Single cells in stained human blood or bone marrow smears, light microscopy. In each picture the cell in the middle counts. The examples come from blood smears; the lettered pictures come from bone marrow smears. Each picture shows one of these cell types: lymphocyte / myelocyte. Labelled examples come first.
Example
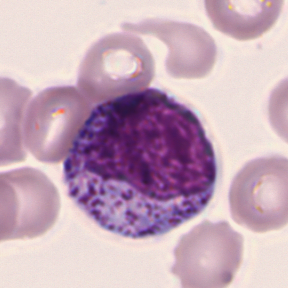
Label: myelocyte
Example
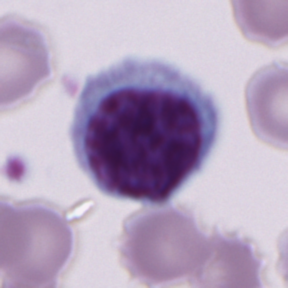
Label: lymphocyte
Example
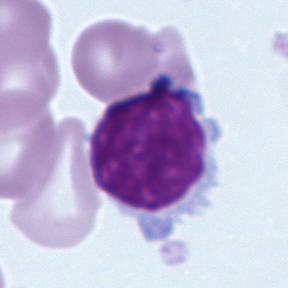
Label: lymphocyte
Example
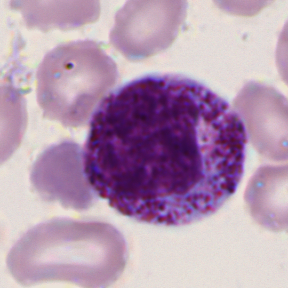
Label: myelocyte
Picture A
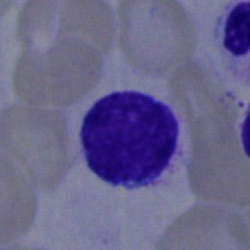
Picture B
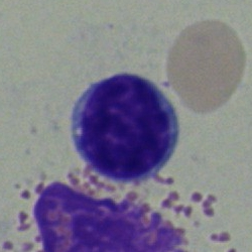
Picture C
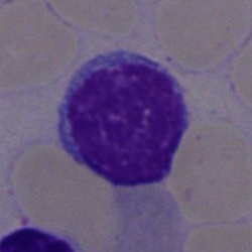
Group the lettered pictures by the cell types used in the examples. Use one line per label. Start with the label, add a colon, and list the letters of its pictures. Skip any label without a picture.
lymphocyte: A, B, C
